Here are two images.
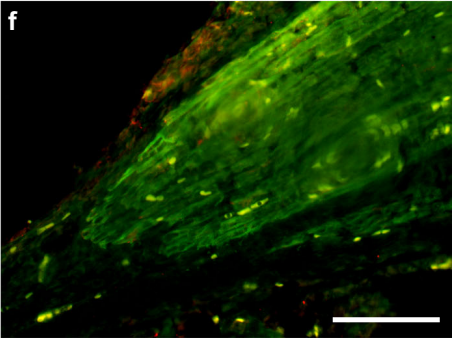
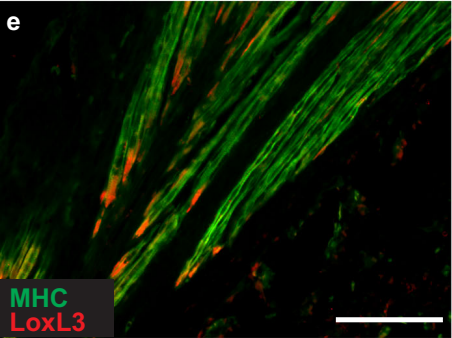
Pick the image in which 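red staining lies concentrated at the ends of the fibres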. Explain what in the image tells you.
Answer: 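The second image. First image: green fibres with no red patches at their ends. Second image: elongated red patches at the tips of the green fibres.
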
